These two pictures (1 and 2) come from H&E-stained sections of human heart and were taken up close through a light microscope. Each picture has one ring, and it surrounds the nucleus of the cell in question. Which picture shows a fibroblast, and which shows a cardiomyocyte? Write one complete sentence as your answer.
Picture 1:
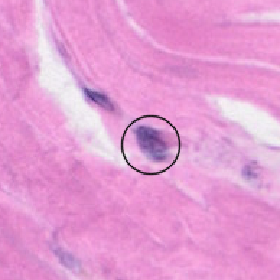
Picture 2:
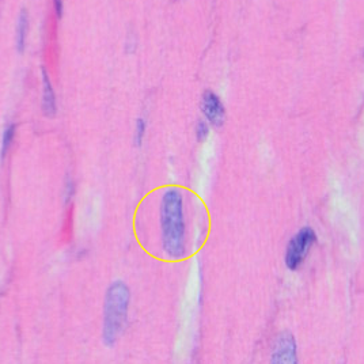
Picture 1 shows a fibroblast and picture 2 shows a cardiomyocyte.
